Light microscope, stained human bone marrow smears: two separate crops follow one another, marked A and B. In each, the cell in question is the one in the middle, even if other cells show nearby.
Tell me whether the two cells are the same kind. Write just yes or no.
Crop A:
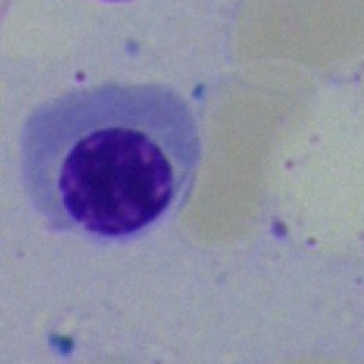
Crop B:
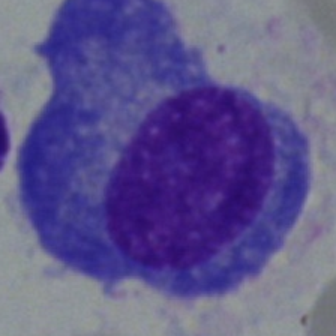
no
